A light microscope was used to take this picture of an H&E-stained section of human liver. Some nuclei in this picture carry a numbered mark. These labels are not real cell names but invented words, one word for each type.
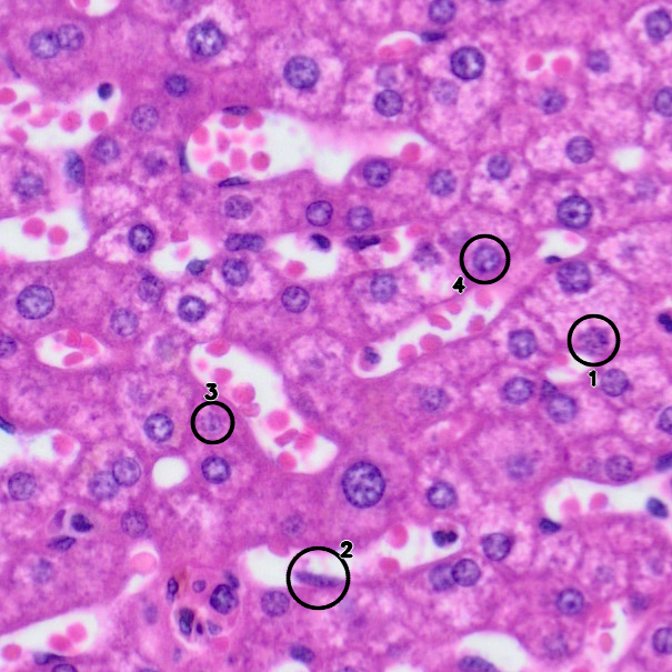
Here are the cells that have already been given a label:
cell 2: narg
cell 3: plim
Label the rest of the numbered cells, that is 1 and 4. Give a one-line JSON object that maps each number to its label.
{"1": "plim", "4": "plim"}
